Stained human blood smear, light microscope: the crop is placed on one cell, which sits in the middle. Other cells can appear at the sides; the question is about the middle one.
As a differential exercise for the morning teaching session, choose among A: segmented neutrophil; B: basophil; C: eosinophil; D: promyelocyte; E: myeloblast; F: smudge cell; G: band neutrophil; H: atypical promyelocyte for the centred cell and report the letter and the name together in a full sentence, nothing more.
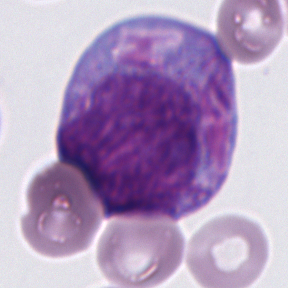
The cell at the heart of the crop is an atypical promyelocyte, so choose option H.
